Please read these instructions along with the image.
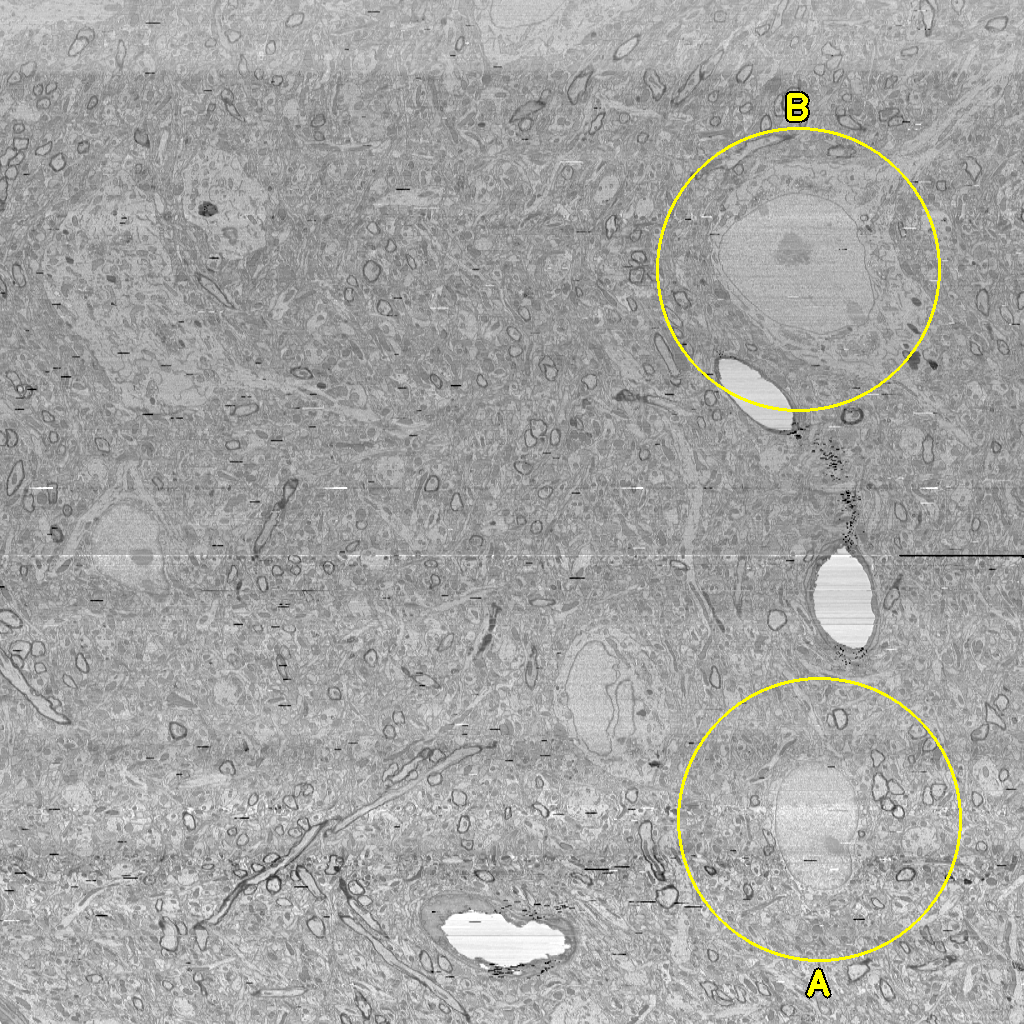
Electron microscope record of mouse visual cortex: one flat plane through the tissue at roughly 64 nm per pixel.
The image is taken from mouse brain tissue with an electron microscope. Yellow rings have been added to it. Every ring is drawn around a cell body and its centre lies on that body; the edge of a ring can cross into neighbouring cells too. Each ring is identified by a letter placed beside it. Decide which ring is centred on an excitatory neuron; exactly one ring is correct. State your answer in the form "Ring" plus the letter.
Ring B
